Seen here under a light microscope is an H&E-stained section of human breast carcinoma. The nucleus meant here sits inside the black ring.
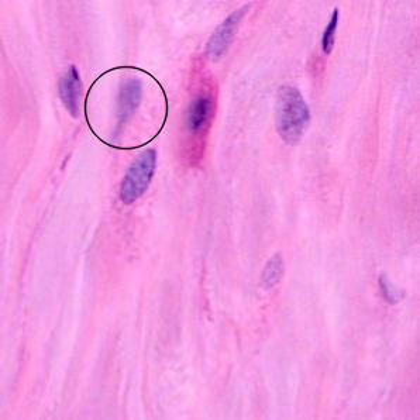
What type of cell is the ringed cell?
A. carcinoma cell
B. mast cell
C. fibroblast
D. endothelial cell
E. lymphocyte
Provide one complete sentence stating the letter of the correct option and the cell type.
Of the options offered, C is correct, as the ringed cell is a fibroblast.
